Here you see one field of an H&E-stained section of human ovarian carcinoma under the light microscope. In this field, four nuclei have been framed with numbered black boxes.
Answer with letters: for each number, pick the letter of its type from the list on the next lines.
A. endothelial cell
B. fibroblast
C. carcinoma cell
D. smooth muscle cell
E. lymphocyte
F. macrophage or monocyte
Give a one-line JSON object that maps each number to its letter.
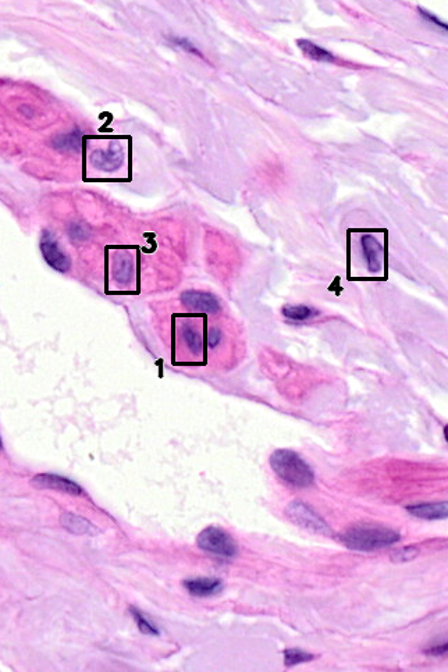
{"1": "D", "2": "F", "3": "D", "4": "B"}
